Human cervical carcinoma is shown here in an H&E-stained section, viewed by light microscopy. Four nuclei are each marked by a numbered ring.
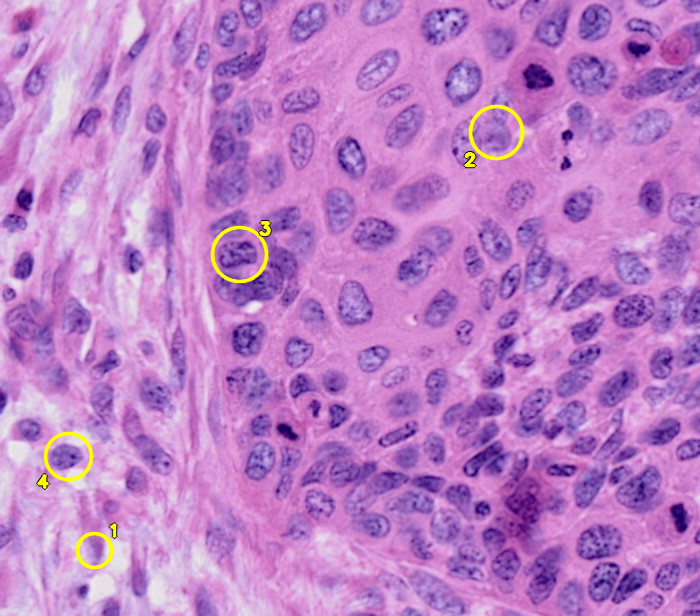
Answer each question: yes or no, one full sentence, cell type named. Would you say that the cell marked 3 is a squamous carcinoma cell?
Yes, in the section, number 3 is a squamous carcinoma cell.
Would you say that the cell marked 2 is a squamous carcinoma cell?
Yes, the cell sitting at number 2 is a squamous carcinoma cell.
